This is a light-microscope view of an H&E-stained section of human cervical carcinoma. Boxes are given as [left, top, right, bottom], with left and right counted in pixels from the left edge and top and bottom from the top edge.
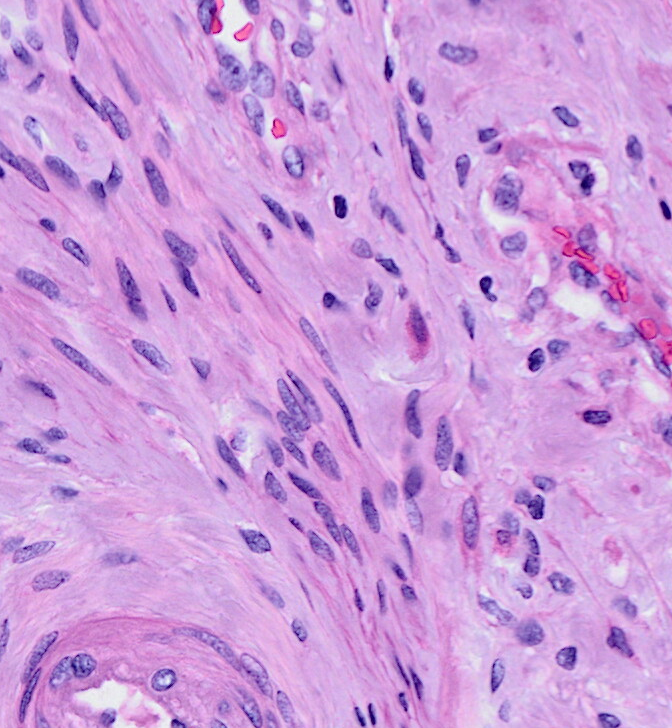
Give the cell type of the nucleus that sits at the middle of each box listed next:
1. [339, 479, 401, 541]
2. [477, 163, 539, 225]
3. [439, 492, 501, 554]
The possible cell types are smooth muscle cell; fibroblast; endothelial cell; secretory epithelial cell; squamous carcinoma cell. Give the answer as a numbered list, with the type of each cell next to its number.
1. fibroblast
2. endothelial cell
3. smooth muscle cell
